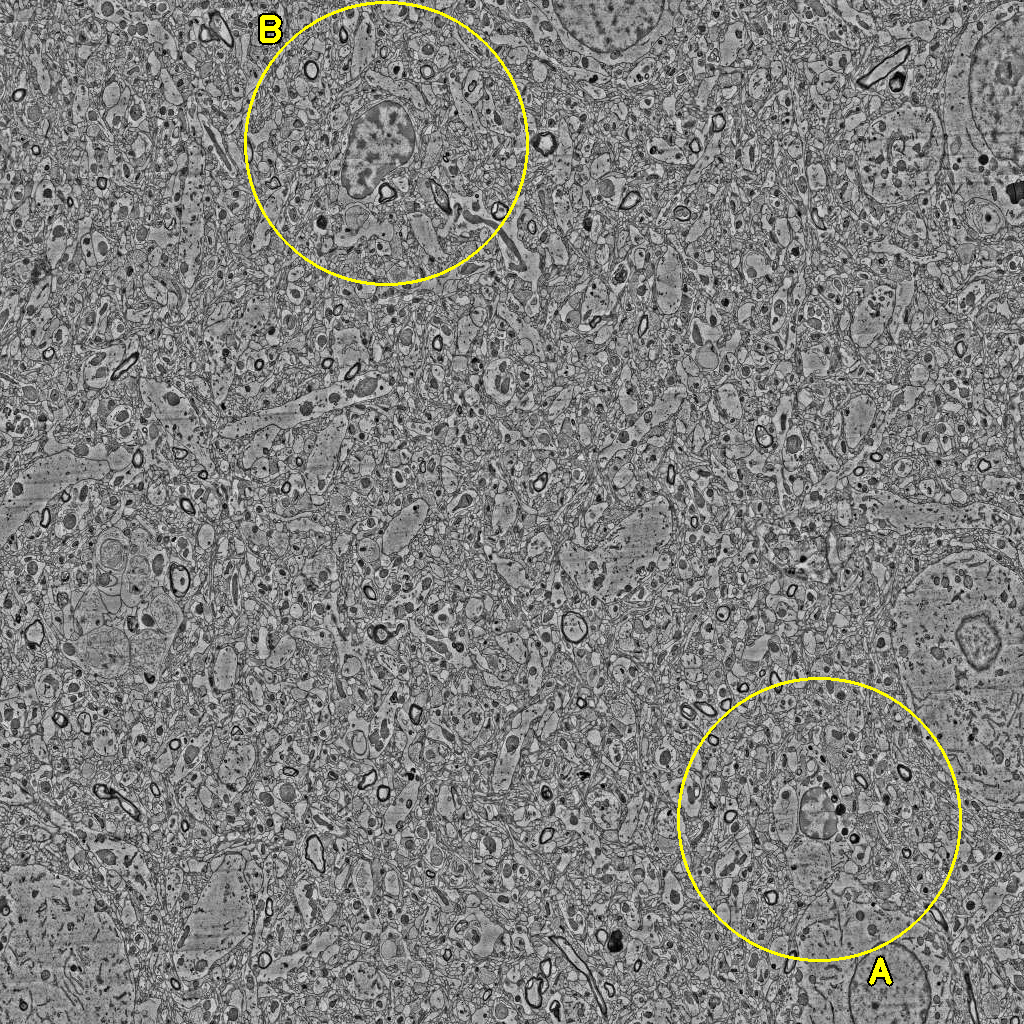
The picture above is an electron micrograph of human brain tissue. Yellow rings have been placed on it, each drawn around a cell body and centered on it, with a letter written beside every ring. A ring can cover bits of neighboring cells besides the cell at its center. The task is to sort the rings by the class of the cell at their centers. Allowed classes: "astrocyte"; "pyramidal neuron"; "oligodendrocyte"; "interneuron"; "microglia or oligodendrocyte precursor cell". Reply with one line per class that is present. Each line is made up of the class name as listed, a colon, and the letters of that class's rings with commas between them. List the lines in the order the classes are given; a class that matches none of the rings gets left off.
microglia or oligodendrocyte precursor cell: A, B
